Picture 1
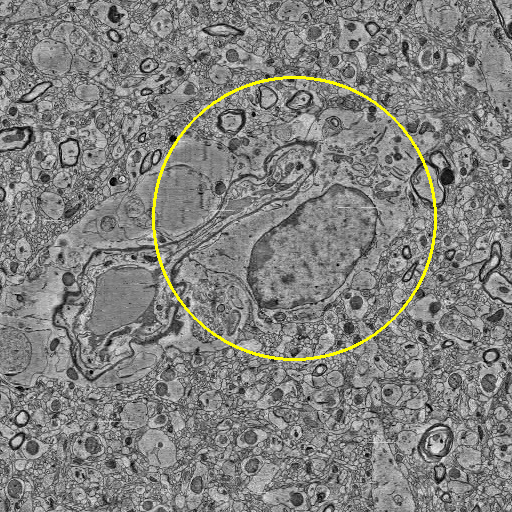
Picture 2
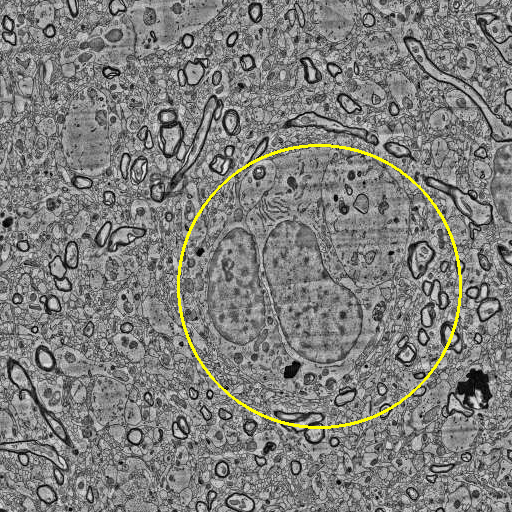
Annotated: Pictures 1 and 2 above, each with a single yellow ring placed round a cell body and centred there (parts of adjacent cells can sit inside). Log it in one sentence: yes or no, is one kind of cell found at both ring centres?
Yes, the ring centres of the two pictures hold cells of one kind.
